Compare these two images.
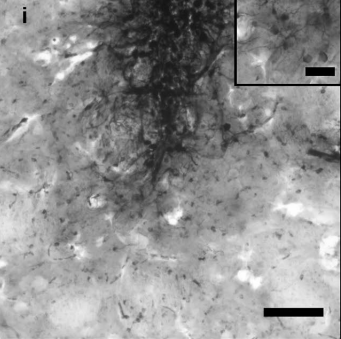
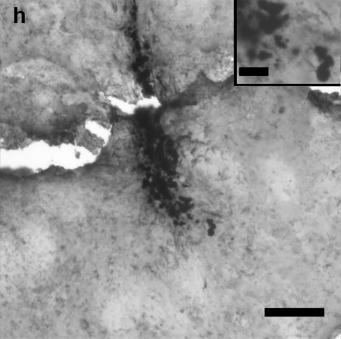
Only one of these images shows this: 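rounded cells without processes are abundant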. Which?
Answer: the second image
